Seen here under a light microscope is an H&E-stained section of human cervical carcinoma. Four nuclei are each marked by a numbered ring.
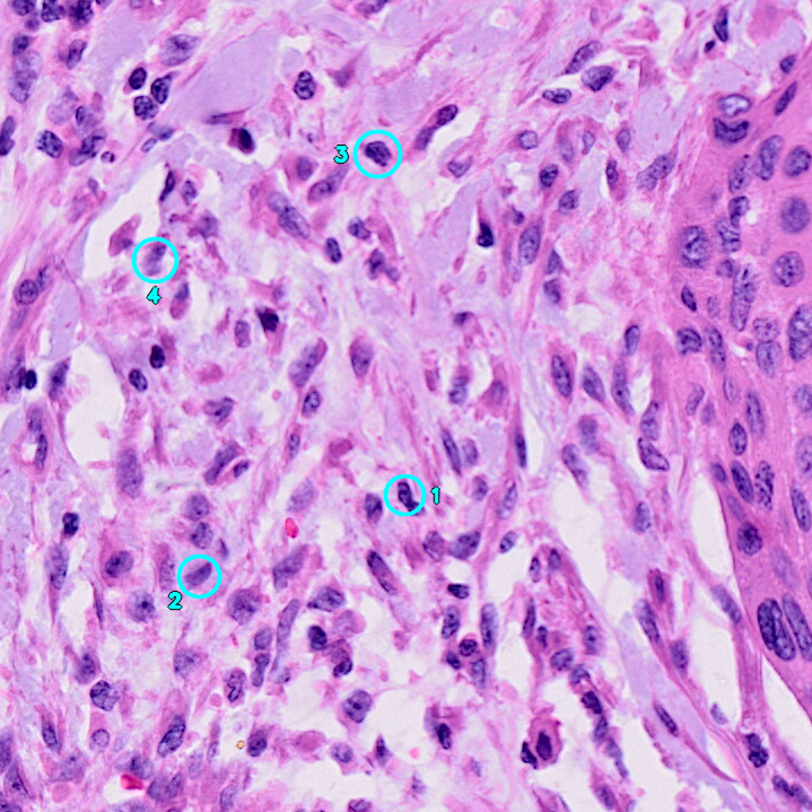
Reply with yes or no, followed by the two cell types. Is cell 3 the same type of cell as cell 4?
No, cell 3 is a lymphocyte, and cell 4 is a fibroblast.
